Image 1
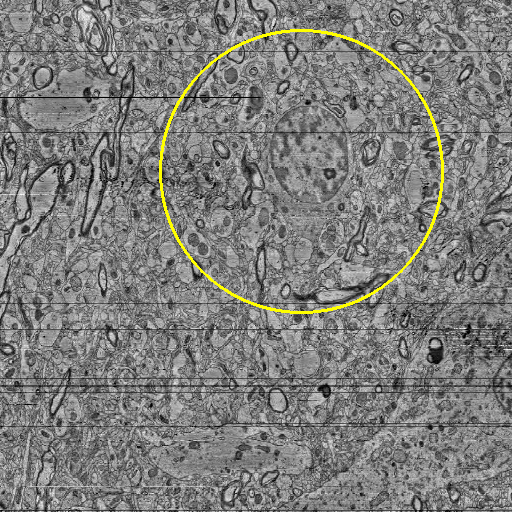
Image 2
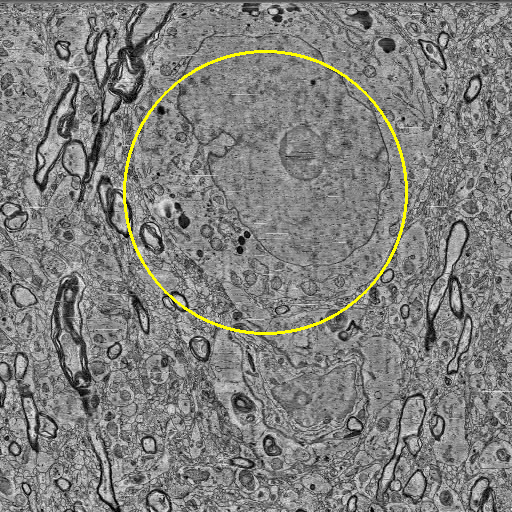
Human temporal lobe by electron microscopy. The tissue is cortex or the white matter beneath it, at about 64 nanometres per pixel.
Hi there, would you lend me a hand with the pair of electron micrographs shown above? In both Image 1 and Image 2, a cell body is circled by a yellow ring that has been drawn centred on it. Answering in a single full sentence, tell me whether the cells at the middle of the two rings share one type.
No, the ringed cells in Image 1 and Image 2 belong to two types.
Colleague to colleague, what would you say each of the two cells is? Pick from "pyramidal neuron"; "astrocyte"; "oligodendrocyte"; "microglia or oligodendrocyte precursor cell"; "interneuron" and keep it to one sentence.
The cell in the first picture is an oligodendrocyte; the second picture's cell is a pyramidal neuron.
